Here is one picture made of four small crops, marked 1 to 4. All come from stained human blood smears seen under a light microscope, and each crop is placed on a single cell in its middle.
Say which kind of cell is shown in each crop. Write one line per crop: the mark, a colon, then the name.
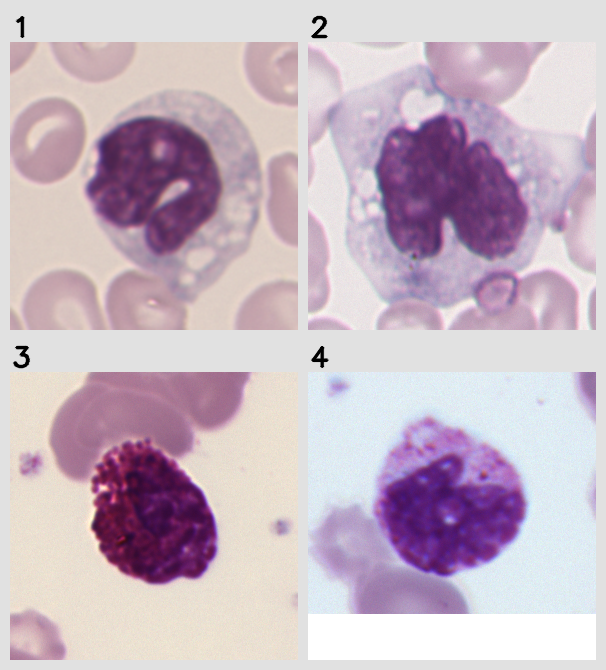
1: monocyte
2: monocyte
3: eosinophil
4: band neutrophil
